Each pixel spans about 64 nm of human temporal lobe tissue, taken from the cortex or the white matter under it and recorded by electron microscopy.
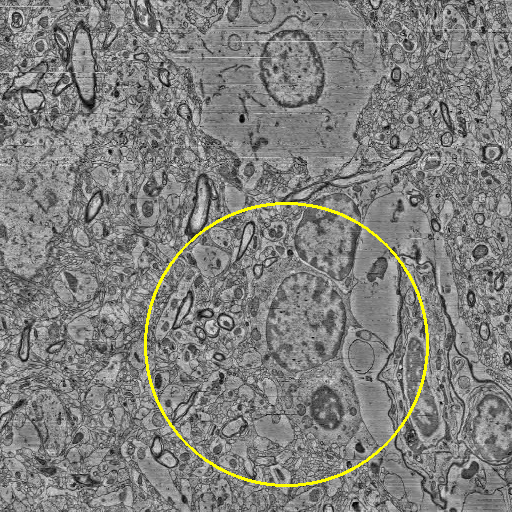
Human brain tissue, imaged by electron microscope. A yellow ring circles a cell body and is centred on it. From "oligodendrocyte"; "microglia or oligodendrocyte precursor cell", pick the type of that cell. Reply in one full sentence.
The cell body at the centre of the yellow ring belongs to an oligodendrocyte.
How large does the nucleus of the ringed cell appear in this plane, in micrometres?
The ringed cell's nucleus measures approximately 7 by 5 micrometres in this plane.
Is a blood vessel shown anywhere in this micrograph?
Yes, the image shows a blood vessel.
